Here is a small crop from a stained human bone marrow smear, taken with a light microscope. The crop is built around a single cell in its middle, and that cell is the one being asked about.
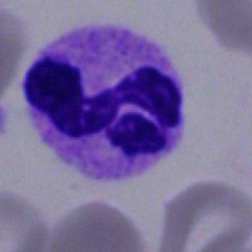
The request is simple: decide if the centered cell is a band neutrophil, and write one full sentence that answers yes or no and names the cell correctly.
No, the central cell here is a segmented neutrophil; calling it a band neutrophil is not right.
